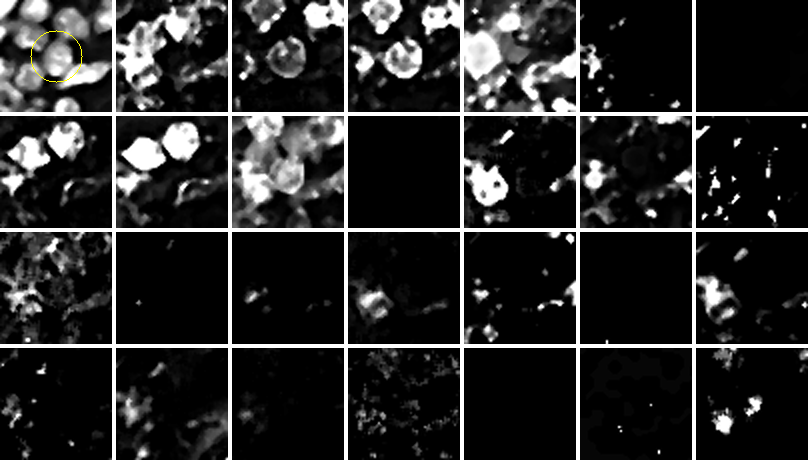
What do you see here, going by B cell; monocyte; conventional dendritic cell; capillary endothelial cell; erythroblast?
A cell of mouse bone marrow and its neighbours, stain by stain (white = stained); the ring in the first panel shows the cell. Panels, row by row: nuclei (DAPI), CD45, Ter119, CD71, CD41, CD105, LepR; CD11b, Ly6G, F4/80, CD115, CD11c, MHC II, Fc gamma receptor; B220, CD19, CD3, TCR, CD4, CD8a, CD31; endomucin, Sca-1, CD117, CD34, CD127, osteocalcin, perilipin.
I see an erythroblast.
